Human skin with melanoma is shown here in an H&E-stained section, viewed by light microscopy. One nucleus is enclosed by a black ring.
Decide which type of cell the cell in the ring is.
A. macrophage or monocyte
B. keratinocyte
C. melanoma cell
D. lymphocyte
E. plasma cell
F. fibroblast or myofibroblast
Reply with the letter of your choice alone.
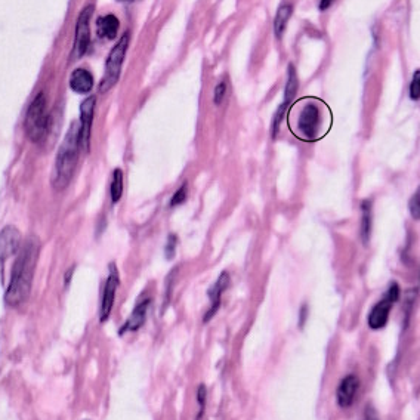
E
